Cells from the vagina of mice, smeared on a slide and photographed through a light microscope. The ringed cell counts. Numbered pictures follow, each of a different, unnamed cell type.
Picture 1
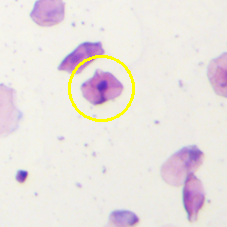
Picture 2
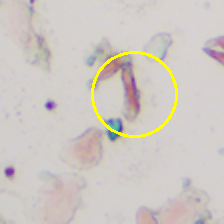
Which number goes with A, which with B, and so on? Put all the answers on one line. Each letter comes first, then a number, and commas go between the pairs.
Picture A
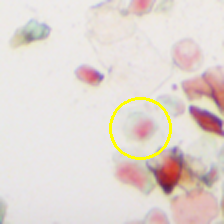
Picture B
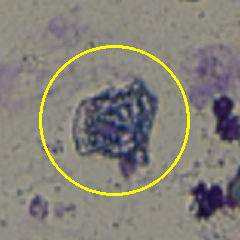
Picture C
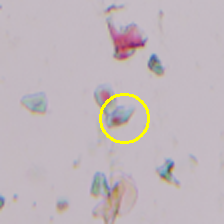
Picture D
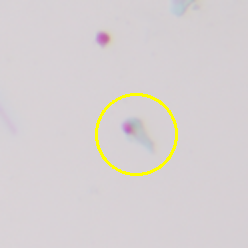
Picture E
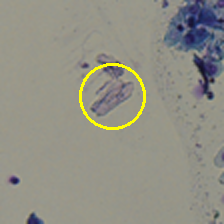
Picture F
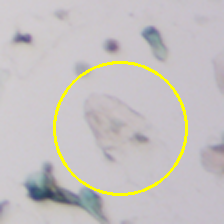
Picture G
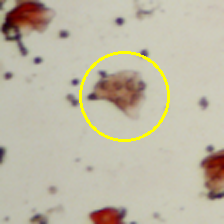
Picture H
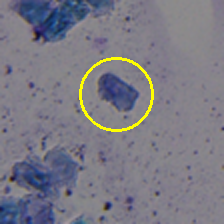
A 1, B 2, C 1, D 1, E 2, F 2, G 2, H 2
